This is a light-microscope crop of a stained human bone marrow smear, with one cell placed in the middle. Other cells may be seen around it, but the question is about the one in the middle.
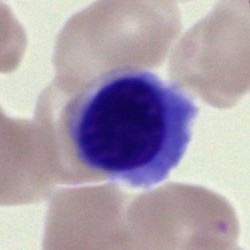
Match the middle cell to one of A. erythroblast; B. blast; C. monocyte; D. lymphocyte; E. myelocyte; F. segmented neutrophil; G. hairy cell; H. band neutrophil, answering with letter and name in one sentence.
The central cell of the crop is an erythroblast, which makes A the correct option.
